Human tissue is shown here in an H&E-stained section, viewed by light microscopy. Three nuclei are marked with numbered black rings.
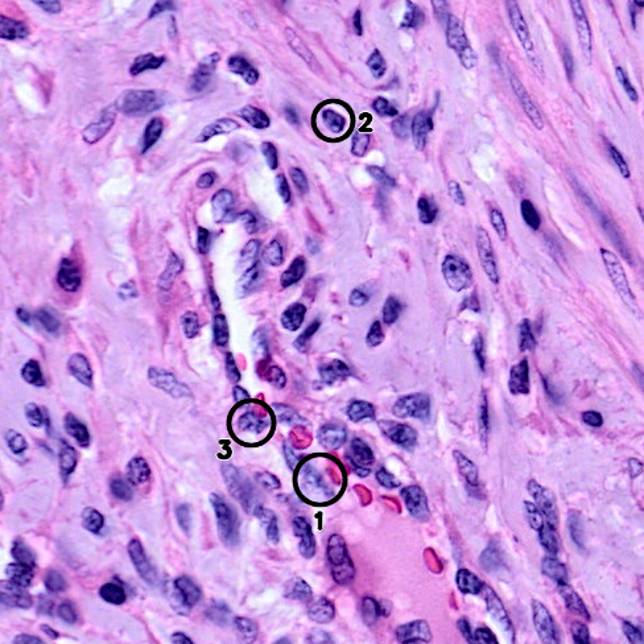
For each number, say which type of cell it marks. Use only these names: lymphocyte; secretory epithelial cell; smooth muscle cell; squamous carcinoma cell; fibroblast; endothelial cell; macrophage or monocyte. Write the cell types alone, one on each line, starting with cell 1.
endothelial cell
lymphocyte
endothelial cell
